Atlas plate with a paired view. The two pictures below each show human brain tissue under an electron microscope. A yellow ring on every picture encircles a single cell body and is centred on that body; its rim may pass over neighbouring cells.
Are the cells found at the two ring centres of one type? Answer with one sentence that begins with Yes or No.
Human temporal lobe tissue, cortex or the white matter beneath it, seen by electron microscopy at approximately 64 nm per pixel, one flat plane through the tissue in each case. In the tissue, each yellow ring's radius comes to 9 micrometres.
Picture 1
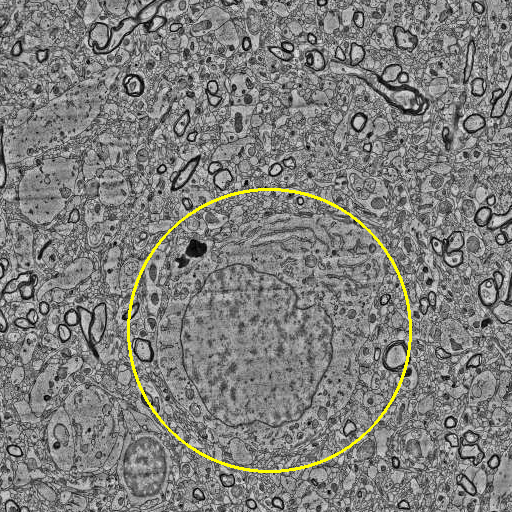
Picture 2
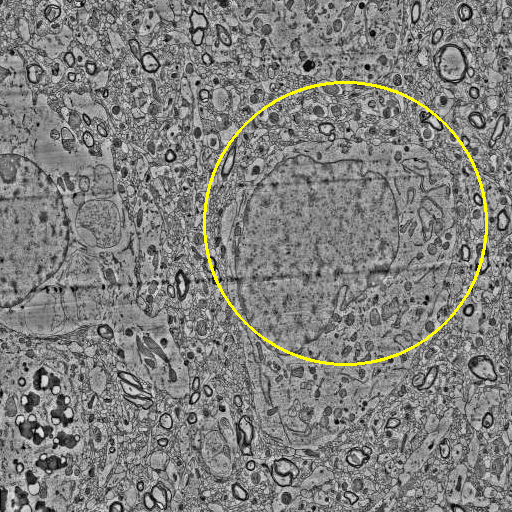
No, the two cells lying at the centres of the rings are of two types.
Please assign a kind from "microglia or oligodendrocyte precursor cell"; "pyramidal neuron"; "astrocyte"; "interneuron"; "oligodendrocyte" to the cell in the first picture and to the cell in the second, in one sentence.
In the first picture we have a pyramidal neuron, and in the second, an interneuron.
